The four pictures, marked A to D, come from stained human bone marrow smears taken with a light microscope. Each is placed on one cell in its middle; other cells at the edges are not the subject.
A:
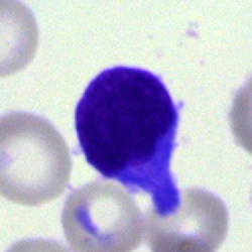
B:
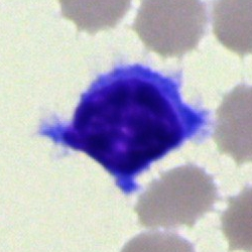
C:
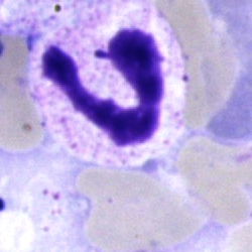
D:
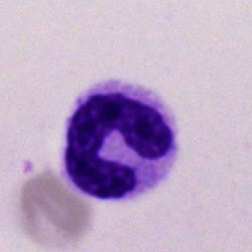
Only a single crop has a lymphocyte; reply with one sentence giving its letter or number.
Selected crop: B, which is the one that shows a lymphocyte.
